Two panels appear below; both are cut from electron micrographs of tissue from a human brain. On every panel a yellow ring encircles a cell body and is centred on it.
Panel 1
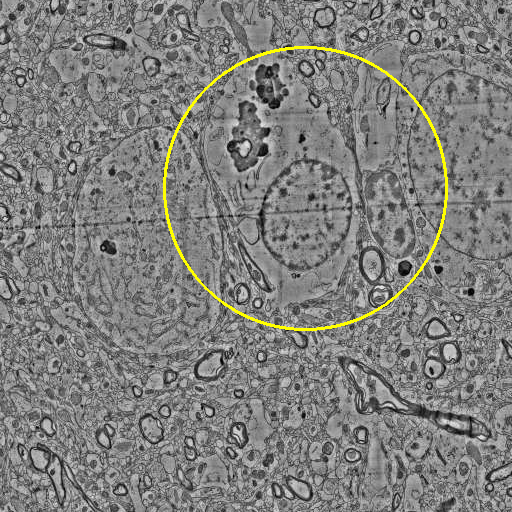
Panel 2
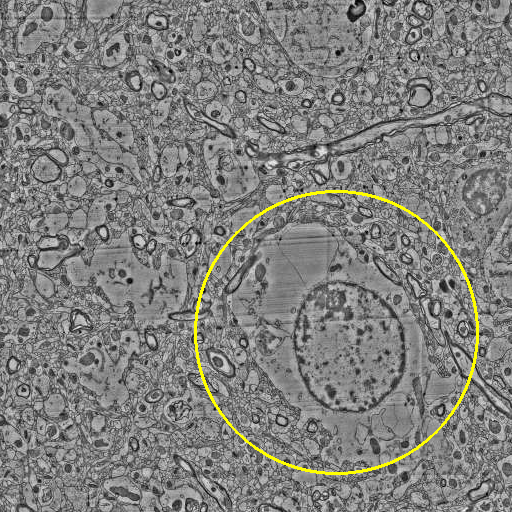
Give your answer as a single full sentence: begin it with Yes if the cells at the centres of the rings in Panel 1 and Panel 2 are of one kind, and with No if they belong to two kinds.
Yes, the cells in the middle of the rings in Panels 1 and 2 are of one kind.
